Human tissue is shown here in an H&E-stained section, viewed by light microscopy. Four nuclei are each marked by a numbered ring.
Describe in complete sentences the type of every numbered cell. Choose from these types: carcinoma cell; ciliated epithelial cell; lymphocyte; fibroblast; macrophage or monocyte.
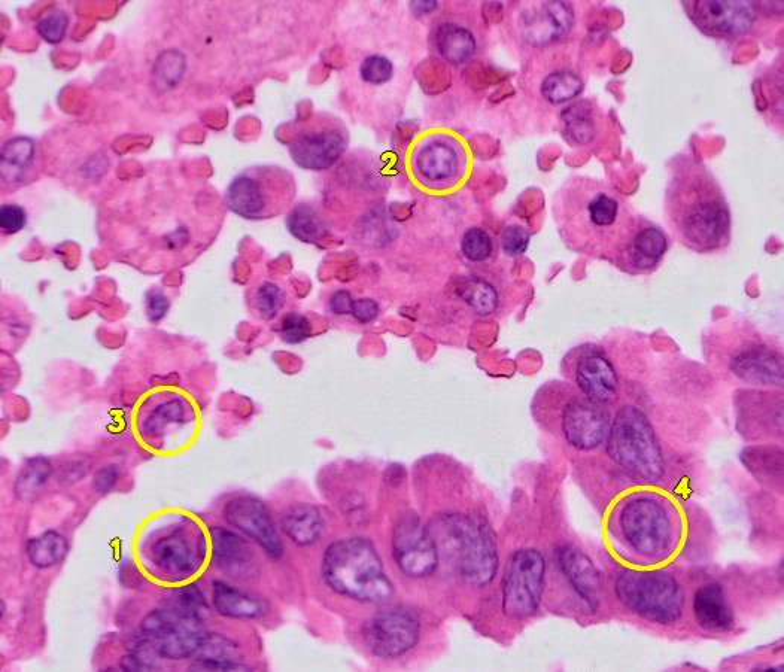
Cell 1 is a carcinoma cell, cell 2 is a macrophage or monocyte, cell 3 is a macrophage or monocyte and cell 4 is a carcinoma cell.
